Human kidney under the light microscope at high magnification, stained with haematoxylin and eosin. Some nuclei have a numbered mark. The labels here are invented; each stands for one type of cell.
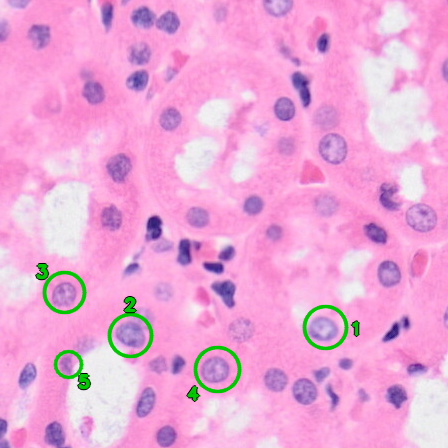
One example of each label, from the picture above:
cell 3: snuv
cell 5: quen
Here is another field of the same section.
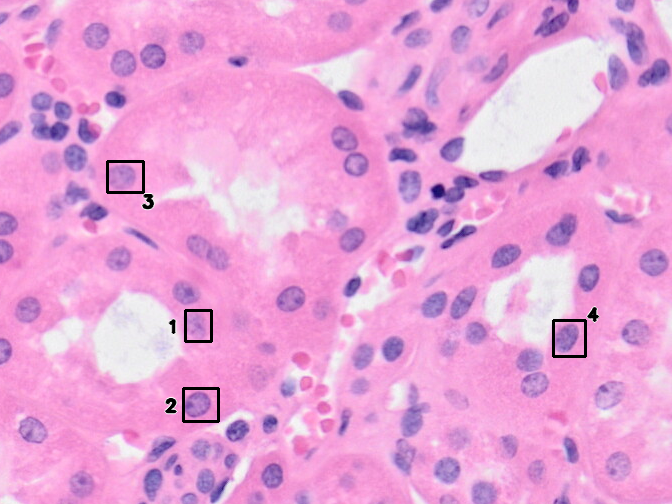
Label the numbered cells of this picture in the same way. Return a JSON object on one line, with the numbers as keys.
{"1": "snuv", "2": "snuv", "3": "snuv", "4": "quen"}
